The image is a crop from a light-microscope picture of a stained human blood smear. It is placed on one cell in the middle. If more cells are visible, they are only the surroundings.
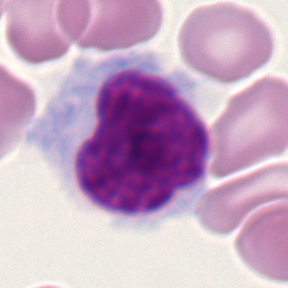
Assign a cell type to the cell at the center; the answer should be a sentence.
The cell of interest, in the center, is a hairy cell.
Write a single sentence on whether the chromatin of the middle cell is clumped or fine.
Chromatin texture is fine, and coarse clumps are absent.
